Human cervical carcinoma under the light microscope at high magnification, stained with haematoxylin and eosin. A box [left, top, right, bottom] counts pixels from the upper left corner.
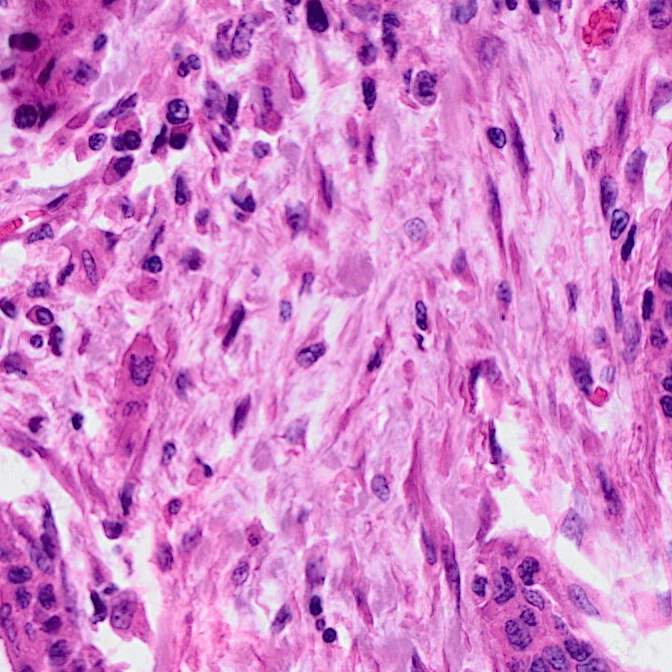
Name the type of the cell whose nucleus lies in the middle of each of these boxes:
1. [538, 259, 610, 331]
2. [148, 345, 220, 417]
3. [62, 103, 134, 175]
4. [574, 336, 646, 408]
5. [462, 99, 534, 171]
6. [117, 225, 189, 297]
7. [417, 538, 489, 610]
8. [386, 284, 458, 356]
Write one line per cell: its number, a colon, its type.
1: fibroblast
2: fibroblast
3: lymphocyte
4: endothelial cell
5: lymphocyte
6: lymphocyte
7: fibroblast
8: lymphocyte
